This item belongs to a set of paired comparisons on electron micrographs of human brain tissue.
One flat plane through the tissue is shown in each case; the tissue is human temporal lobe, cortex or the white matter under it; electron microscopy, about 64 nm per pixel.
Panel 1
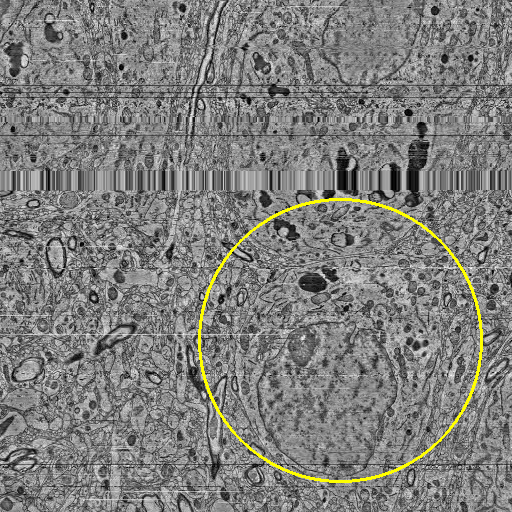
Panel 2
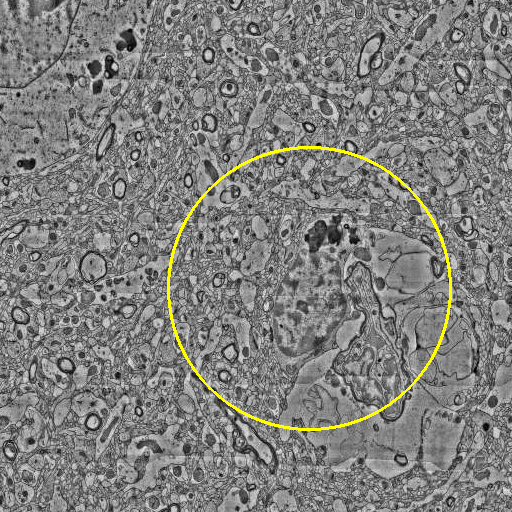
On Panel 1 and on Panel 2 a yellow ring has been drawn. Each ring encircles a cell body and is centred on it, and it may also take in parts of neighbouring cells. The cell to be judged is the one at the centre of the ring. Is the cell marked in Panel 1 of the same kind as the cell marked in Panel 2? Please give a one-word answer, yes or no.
no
